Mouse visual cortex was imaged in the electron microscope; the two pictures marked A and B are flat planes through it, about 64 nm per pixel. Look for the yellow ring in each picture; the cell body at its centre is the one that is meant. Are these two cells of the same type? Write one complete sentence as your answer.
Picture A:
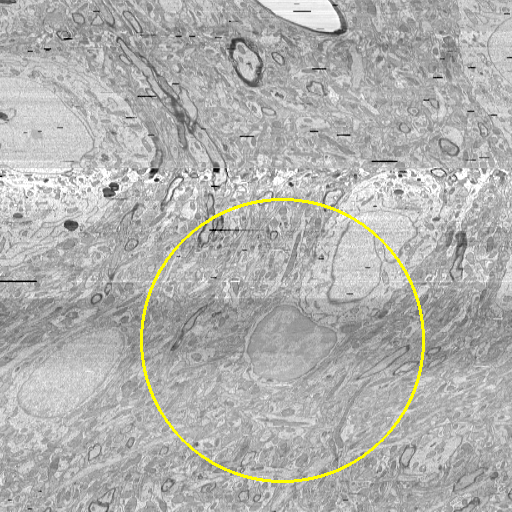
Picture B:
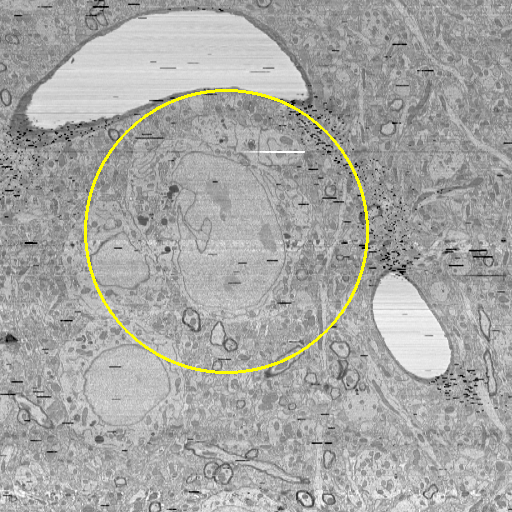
No, they differ: the cell is a microglial cell in picture A and an inhibitory neuron in picture B.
